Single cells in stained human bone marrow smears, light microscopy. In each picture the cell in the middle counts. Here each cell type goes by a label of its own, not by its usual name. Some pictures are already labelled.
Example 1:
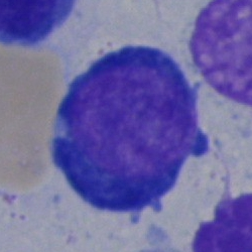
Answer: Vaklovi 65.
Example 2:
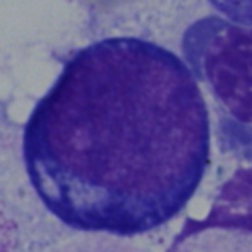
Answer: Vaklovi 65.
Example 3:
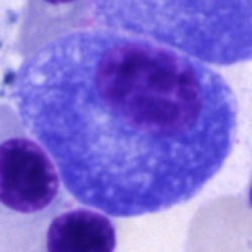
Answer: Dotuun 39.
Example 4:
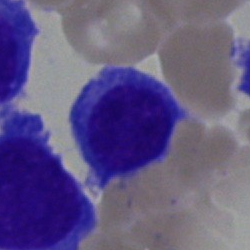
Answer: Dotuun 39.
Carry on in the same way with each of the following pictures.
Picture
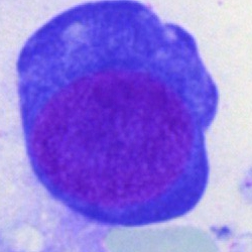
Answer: Vaklovi 65.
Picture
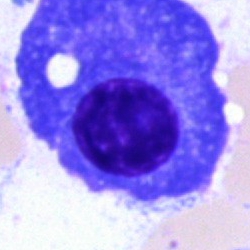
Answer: Dotuun 39.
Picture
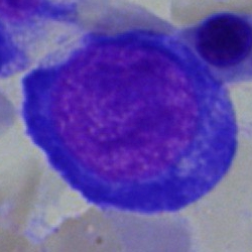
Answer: Vaklovi 65.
